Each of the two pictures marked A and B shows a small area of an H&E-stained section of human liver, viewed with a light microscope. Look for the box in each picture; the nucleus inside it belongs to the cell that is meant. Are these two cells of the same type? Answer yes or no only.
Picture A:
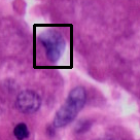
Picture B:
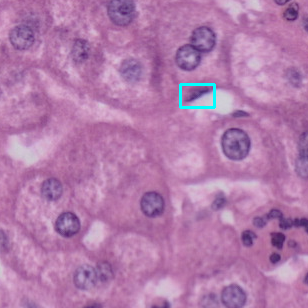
yes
